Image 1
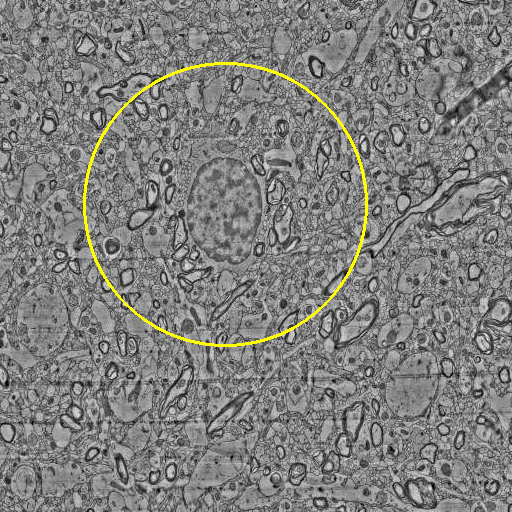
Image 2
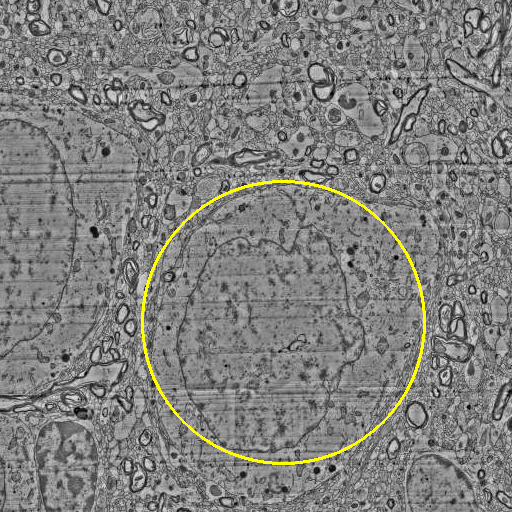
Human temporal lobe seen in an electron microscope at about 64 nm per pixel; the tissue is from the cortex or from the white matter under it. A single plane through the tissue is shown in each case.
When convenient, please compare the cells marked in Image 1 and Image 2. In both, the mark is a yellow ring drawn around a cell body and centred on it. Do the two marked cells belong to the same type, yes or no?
no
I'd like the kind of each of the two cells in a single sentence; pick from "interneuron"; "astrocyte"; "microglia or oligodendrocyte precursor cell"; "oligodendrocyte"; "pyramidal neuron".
The first ring marks an oligodendrocyte, and the second ring marks a pyramidal neuron.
